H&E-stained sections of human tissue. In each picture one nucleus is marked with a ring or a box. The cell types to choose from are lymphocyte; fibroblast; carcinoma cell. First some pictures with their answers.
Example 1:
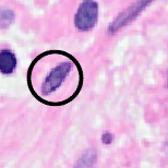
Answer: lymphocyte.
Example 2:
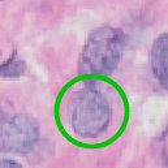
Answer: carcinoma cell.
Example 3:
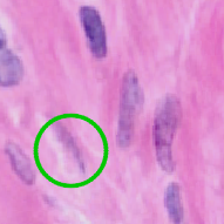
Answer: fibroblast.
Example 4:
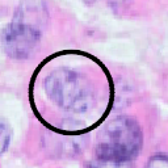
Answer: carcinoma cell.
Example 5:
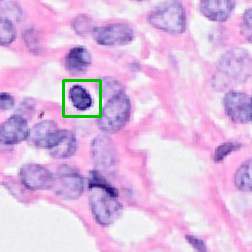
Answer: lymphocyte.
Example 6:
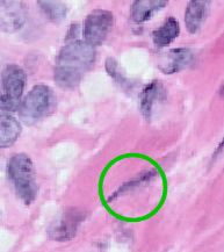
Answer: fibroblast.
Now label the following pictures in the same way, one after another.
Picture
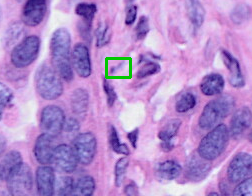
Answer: fibroblast.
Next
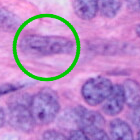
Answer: fibroblast.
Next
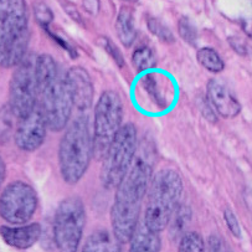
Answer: fibroblast.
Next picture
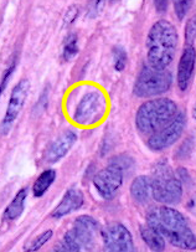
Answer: fibroblast.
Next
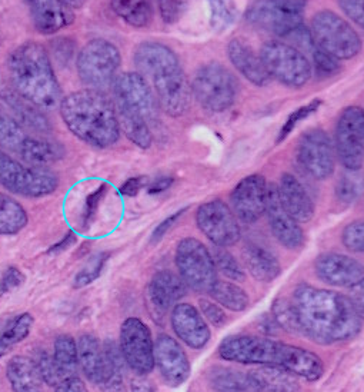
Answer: fibroblast.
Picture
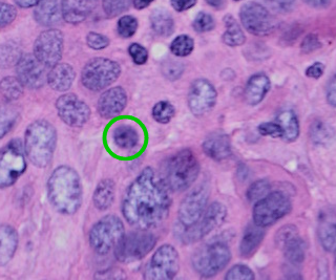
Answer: lymphocyte.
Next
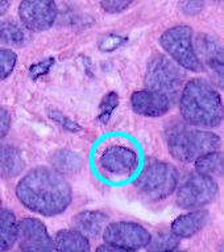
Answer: carcinoma cell.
